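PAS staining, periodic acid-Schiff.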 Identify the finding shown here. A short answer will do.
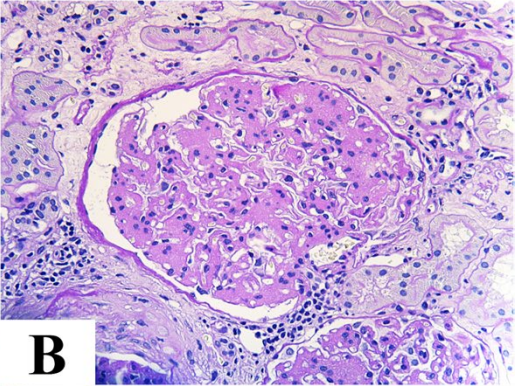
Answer: Increased mesangial matrix.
